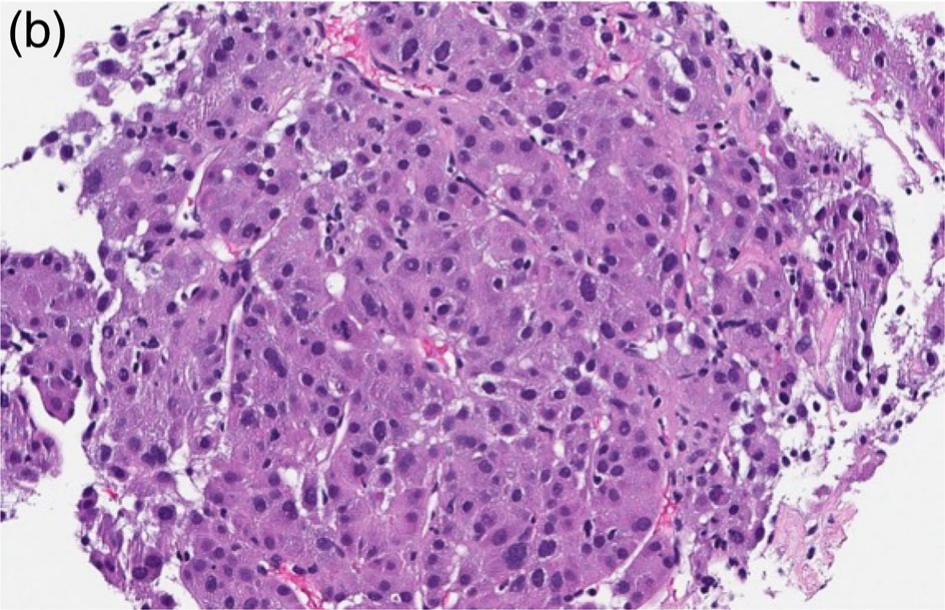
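Hepatocellular carcinoma made of polygonal tumour cells arranged in sheets and thick trabeculae. The trabeculae are separated by thin, slit-like vascular spaces. Small clear vacuoles are scattered among the cells. Loosened, fragmented tissue lies at the edges of the biopsy.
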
